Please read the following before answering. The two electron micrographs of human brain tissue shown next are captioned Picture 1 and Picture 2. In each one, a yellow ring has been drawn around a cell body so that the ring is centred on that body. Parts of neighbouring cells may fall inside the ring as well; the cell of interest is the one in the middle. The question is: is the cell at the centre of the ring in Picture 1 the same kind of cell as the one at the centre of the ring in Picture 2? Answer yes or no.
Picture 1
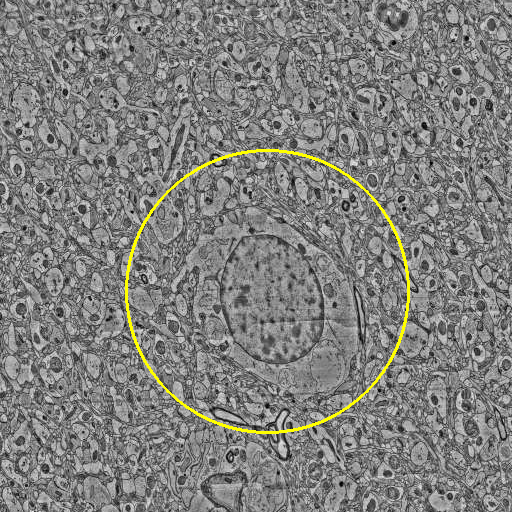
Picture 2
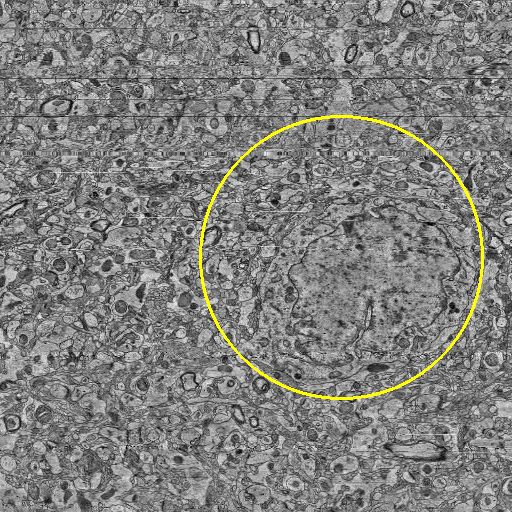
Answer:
no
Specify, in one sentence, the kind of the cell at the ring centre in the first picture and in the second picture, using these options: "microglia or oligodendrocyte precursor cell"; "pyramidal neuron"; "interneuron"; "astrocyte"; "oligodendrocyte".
So the first is an astrocyte, the second an interneuron.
